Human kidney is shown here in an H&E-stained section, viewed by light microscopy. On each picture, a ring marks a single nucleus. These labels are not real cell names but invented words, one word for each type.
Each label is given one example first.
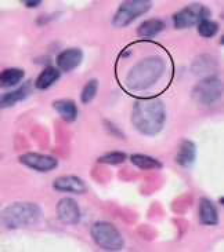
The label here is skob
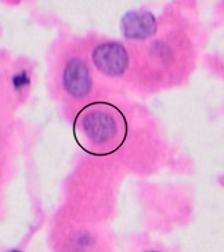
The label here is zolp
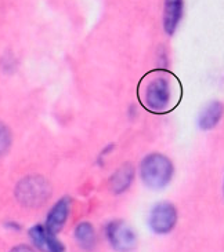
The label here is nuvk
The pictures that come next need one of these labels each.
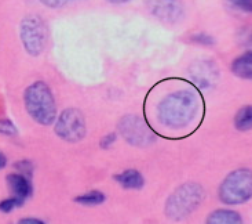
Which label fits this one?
skob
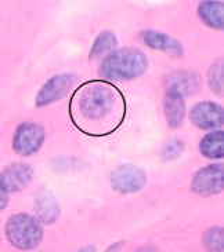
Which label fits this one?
skob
